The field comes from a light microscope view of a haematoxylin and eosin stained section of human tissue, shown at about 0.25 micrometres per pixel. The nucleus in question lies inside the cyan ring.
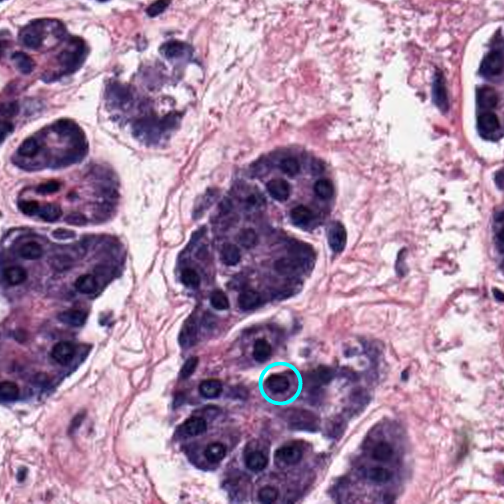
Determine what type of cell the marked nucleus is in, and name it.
pancreatic acinar cell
